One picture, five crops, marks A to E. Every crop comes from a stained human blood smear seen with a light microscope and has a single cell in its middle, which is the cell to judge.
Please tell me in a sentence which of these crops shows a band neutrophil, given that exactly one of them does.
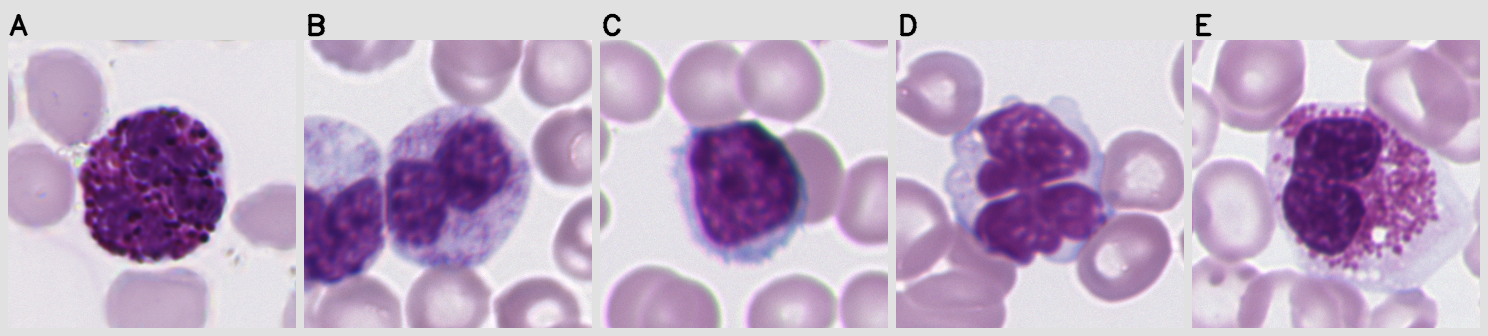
It is in crop B that a band neutrophil is shown.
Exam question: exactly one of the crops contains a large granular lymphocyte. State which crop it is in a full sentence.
The crop that shows a large granular lymphocyte is crop D.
